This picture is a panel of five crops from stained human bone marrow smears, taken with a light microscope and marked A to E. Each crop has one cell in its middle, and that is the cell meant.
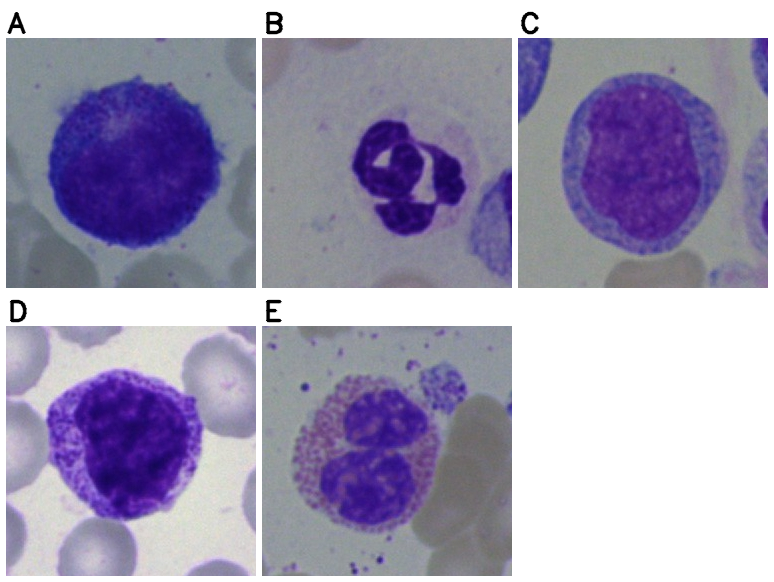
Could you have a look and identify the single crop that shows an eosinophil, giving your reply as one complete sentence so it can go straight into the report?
As for which crop shows an eosinophil, it is crop E.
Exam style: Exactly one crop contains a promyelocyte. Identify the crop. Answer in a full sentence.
The one crop that shows a promyelocyte is crop A.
